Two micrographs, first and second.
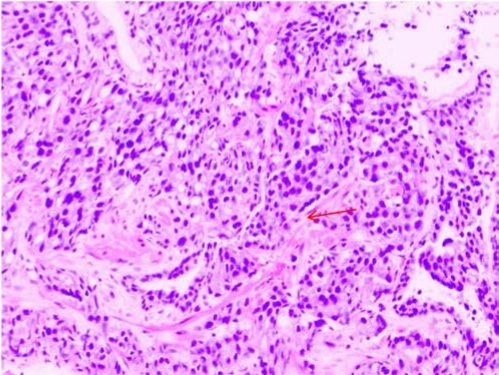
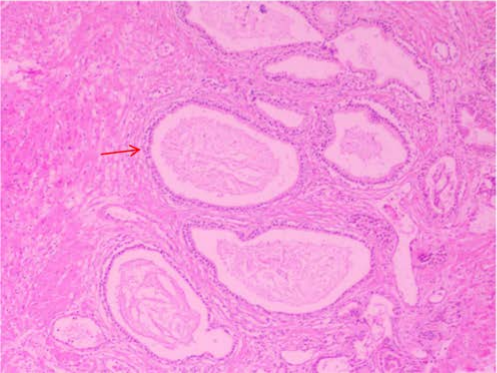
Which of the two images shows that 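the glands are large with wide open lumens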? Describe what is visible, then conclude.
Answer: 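First image: crowded cells in sheets and cords with only small, scattered spaces. Second image: several large oval glands with wide lumens lined by a thin epithelium. That points to this answer: the second image.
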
